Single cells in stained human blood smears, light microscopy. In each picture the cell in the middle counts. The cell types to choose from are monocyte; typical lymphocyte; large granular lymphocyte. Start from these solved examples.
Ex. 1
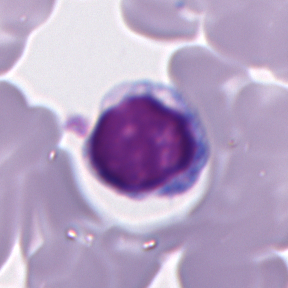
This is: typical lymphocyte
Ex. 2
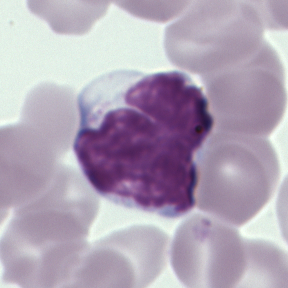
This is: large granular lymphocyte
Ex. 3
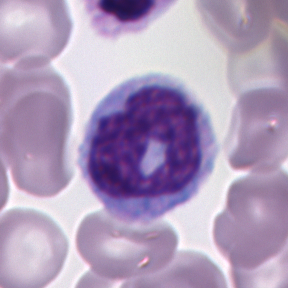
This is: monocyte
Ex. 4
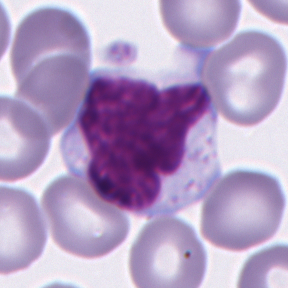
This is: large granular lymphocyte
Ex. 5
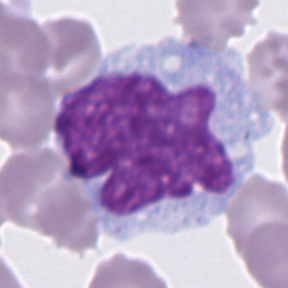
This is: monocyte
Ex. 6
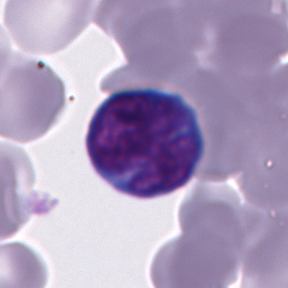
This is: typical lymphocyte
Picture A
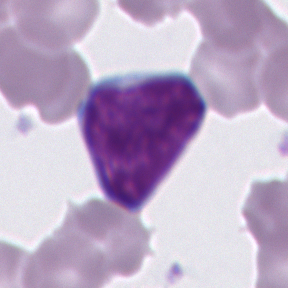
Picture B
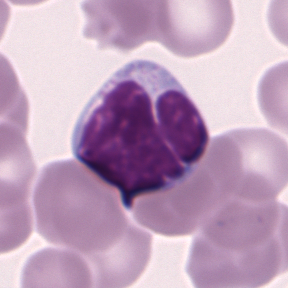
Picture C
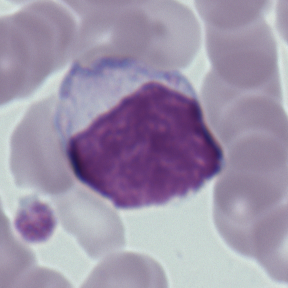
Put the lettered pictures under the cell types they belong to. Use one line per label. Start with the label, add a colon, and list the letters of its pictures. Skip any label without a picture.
typical lymphocyte: A
large granular lymphocyte: B, C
